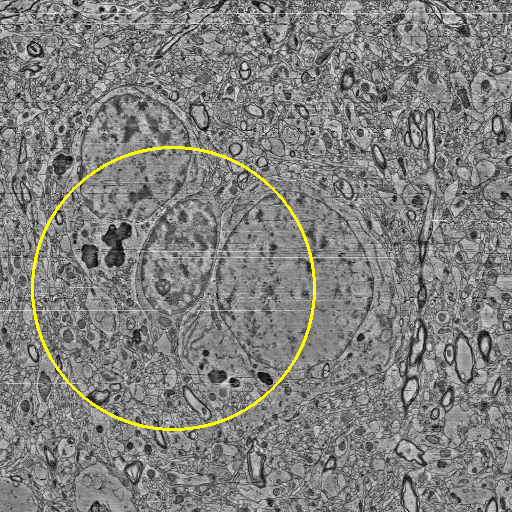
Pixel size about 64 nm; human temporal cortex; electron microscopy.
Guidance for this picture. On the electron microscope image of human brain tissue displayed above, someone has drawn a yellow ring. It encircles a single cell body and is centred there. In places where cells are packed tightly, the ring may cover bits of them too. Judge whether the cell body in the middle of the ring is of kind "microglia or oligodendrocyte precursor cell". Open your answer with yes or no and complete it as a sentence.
No, another kind matches the cell whose body lies at the ring's centre in the image above.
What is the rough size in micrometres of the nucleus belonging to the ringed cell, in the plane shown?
The nucleus comes to approximately 8 by 5 micrometres and is clearly longer than it is wide in this plane.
